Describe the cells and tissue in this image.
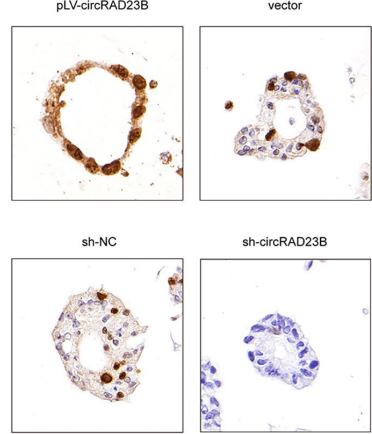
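These are sections through small organoids, each built as a hollow ring of epithelial cells around a central lumen, much like a tiny gland. The cells have rounded to oval nuclei, counterstained blue, and a pale pink-tan cytoplasm. In several organoids a number of nuclei are stained dark brown and stand out against the blue ones, scattered around the ring. In one organoid the brown colour is dense, filling many nuclei and also tinting the cytoplasm of much of the wall. In another, only blue nuclei are seen and no brown nuclei can be made out.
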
